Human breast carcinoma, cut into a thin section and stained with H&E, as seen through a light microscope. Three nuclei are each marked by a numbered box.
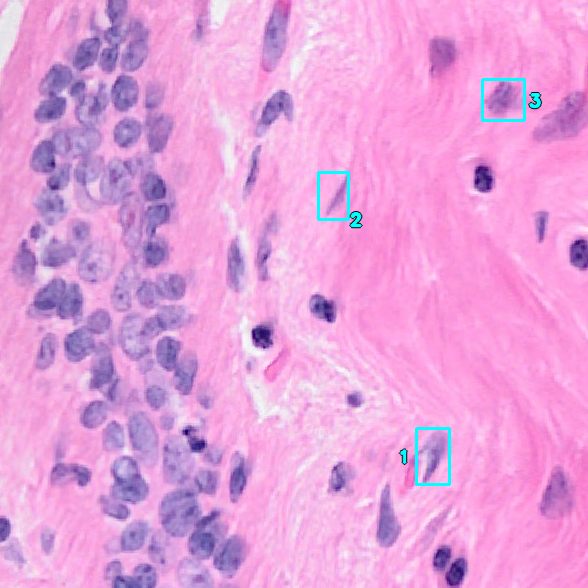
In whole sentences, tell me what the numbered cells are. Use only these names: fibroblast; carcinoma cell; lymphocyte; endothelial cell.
Cell 1 is an endothelial cell, cell 2 is a fibroblast and cell 3 is a fibroblast.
